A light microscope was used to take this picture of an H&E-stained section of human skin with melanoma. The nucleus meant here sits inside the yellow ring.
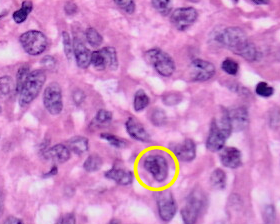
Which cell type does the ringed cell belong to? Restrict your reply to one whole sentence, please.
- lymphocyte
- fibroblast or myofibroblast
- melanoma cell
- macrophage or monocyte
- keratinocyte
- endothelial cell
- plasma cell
It is as a melanoma cell that the ringed cell is recorded.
